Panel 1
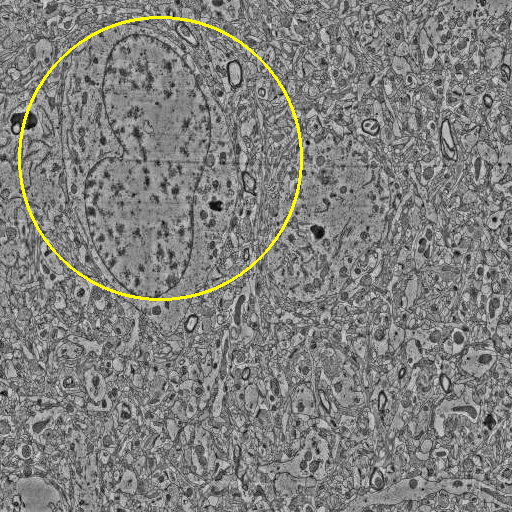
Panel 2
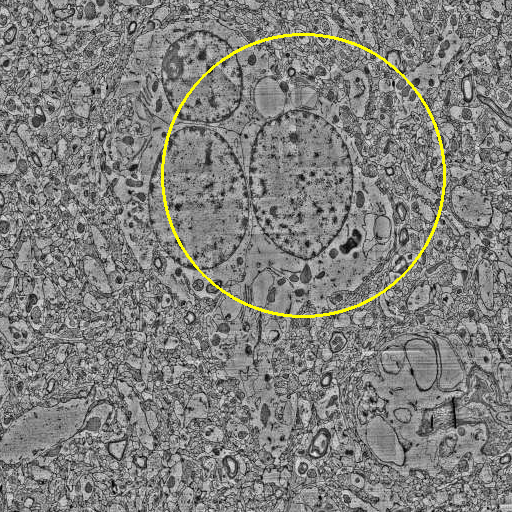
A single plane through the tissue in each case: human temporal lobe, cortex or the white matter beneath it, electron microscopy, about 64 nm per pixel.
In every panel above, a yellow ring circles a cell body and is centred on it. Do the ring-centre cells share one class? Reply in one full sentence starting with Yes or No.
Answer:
No, the two cells at the ring centres in the panels belong to two classes.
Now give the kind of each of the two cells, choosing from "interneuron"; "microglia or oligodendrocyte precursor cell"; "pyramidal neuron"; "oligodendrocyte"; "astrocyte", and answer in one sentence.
The cell in the first picture is a pyramidal neuron, and the cell in the second is an astrocyte.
